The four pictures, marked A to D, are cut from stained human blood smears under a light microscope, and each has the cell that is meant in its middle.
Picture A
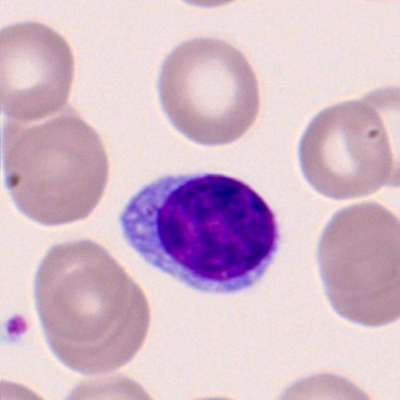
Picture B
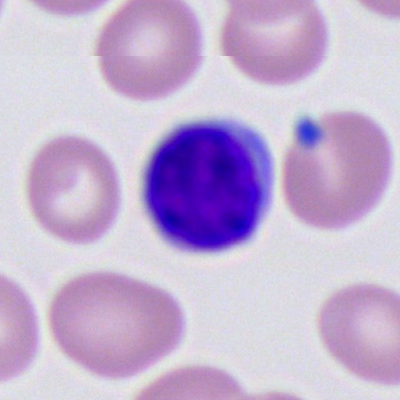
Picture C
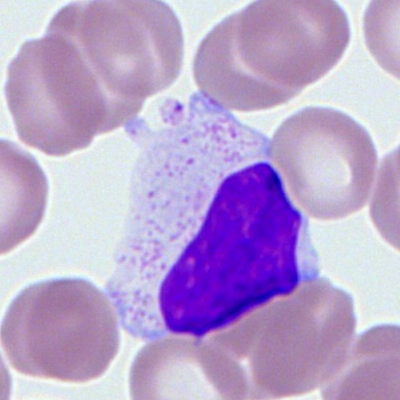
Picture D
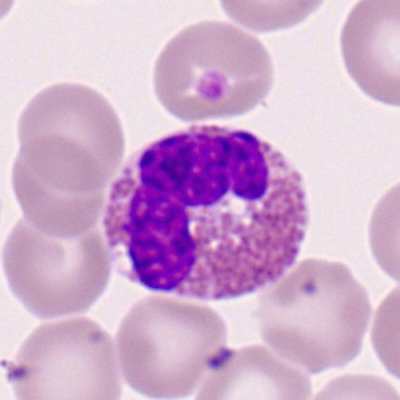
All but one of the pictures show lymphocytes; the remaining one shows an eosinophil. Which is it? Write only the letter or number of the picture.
D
